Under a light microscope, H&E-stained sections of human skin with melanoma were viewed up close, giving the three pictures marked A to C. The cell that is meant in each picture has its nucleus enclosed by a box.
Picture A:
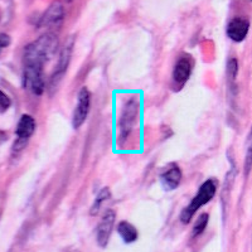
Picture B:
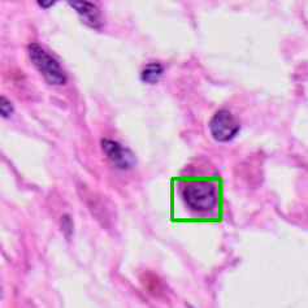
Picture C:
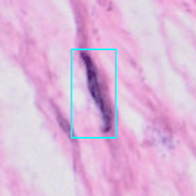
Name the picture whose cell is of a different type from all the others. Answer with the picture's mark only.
B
